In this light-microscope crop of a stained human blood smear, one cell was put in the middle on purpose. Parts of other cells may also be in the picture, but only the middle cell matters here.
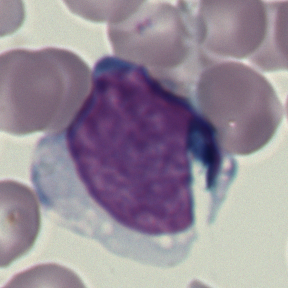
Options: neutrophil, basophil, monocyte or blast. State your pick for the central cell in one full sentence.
By classification, the middle cell of this crop is a blast.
